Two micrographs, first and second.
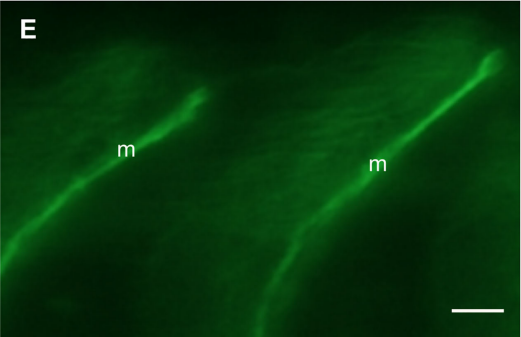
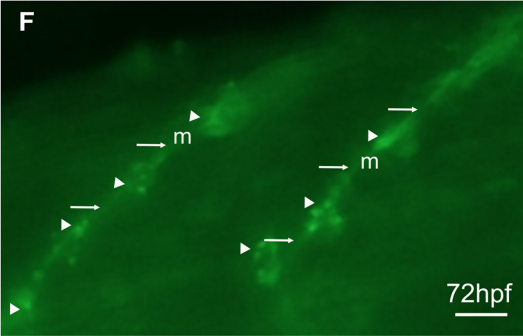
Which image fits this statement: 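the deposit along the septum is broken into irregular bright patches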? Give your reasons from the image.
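The second image. First image: the green lines along the septa are continuous and even in brightness. Second image: the green lines carry bright clumps separated by faint stretches.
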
